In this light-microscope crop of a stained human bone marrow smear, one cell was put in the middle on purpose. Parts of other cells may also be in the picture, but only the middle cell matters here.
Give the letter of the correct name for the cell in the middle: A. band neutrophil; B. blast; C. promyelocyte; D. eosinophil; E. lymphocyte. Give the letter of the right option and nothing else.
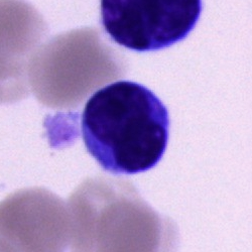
E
